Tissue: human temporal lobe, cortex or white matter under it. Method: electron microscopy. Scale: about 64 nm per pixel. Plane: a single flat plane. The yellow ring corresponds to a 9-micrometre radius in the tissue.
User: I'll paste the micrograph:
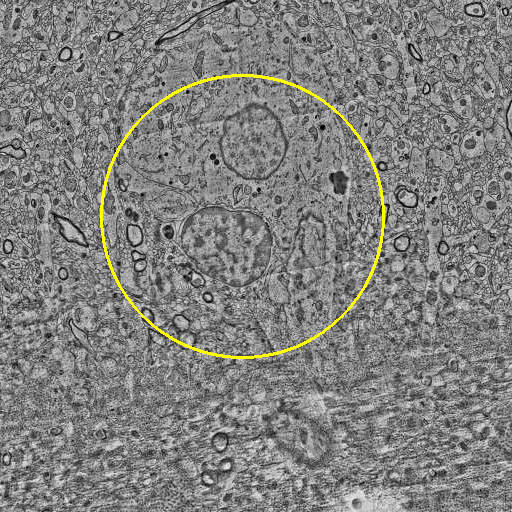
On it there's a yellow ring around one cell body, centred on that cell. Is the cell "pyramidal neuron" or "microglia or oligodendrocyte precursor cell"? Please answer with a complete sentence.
The cell ringed in yellow is a microglial cell or oligodendrocyte precursor cell.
